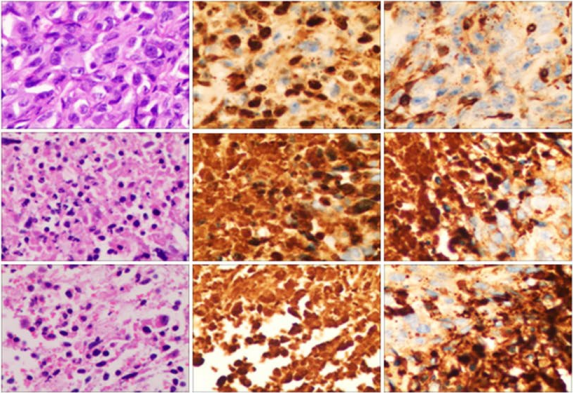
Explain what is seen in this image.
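The left column is stained pink and purple. The other two columns show brown staining with a blue counterstain. In the top row, large tumor cells are crowded together in sheets. They have big, oval to irregular, pale vesicular nuclei and obvious nucleoli. In the lower two rows, the tissue is looser. Many small, dark, condensed nuclei lie scattered among pale pink material that looks like debris. In the stained columns, the brown colour fills much of the cytoplasm and many nuclei. It is denser and more widespread in the lower rows than in the top row.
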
